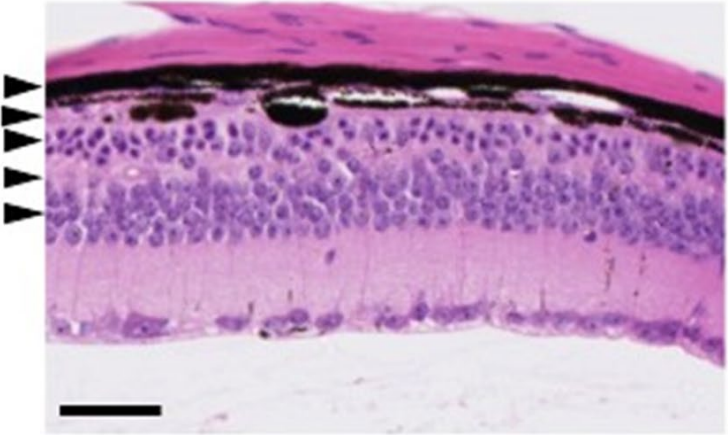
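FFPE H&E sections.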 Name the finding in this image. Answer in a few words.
marked thinning of the outer retina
